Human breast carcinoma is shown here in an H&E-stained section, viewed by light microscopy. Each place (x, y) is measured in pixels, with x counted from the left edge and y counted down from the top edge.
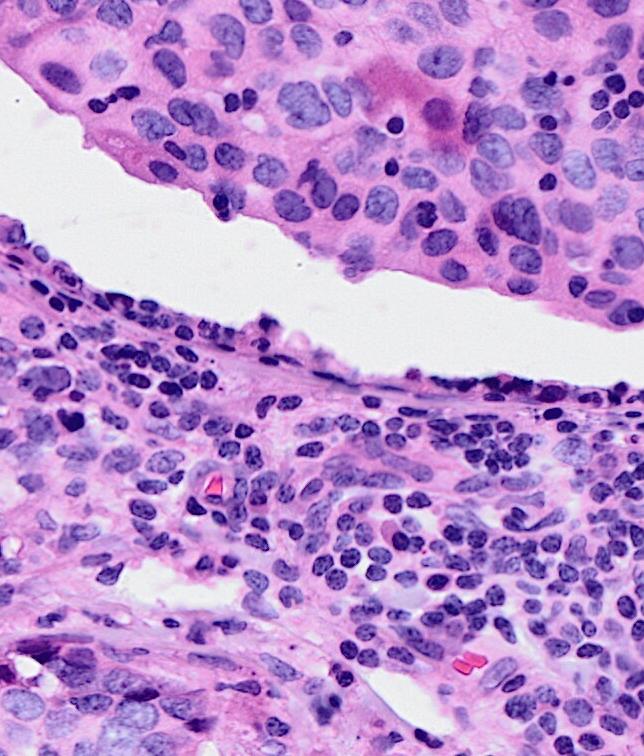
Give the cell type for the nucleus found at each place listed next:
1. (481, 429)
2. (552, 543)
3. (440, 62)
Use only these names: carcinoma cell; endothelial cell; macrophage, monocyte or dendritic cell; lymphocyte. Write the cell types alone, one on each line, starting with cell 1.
lymphocyte
lymphocyte
carcinoma cell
